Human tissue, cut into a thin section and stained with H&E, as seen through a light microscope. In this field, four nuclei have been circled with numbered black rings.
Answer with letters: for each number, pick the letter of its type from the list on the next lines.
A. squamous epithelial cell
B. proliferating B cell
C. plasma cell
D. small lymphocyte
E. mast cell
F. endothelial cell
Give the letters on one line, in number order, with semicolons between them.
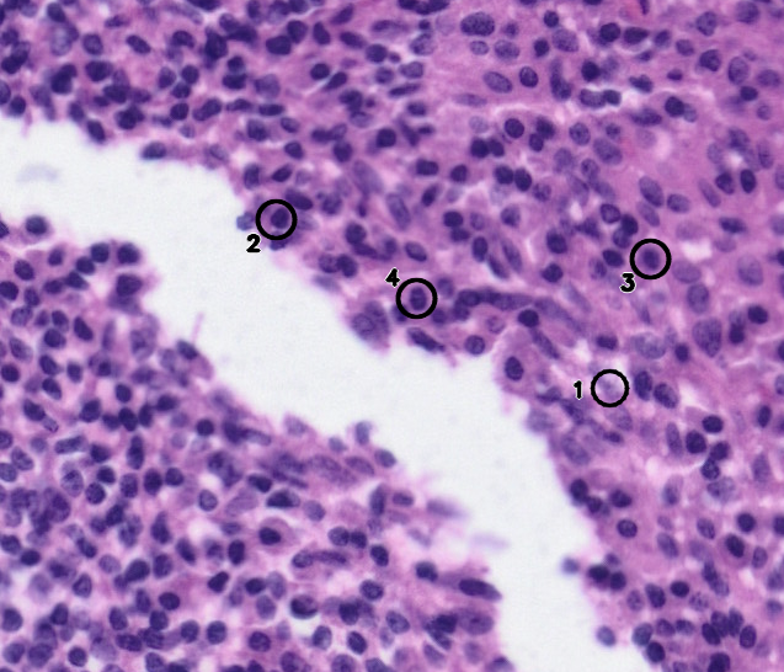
A; C; C; C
